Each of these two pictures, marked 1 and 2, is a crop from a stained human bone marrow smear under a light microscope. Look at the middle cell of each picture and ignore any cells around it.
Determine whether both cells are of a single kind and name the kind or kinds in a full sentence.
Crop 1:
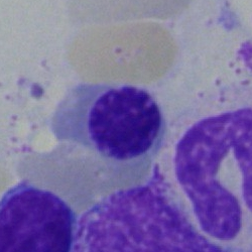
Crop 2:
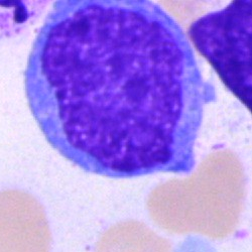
No, the cells are an erythroblast in crop 1 and a blast in crop 2.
